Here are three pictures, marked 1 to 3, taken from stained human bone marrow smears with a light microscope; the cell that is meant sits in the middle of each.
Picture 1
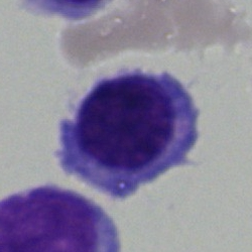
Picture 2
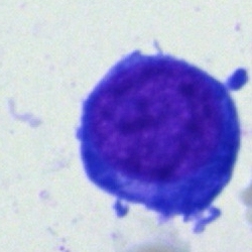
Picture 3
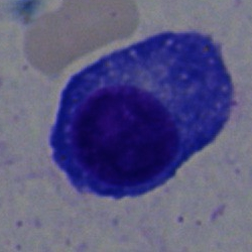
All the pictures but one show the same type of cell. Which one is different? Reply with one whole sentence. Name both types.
The different one is picture 2; it shows a proerythroblast, whereas all the others show plasma cells.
